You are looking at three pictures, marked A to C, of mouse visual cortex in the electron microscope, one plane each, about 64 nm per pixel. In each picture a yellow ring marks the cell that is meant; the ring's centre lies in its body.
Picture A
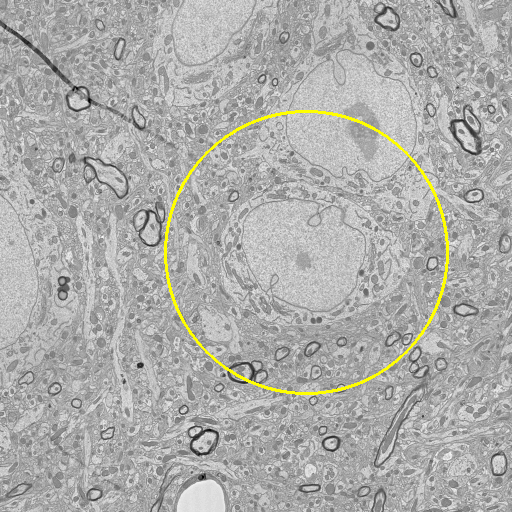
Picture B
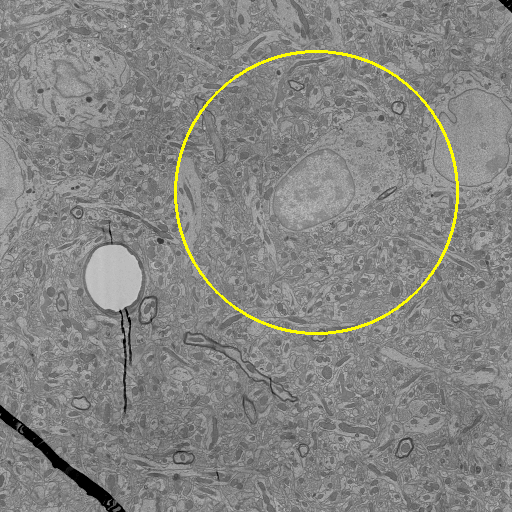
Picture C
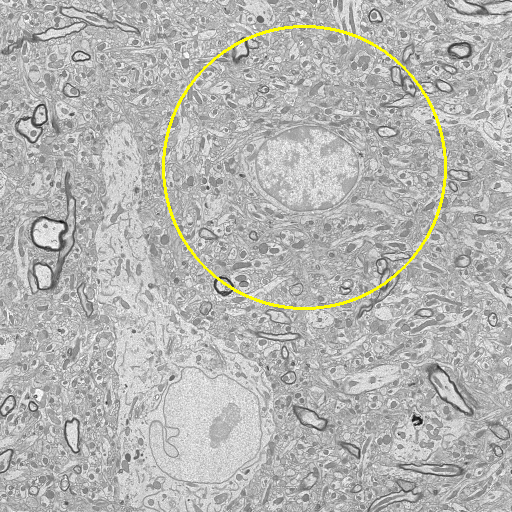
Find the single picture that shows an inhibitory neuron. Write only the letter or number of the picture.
A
